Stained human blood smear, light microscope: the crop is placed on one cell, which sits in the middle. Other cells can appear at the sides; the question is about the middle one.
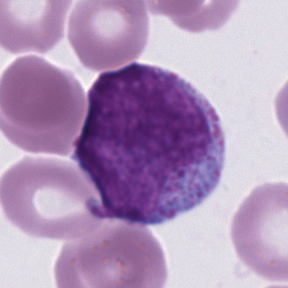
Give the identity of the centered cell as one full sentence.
At the center of the crop sits a promyelocyte.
